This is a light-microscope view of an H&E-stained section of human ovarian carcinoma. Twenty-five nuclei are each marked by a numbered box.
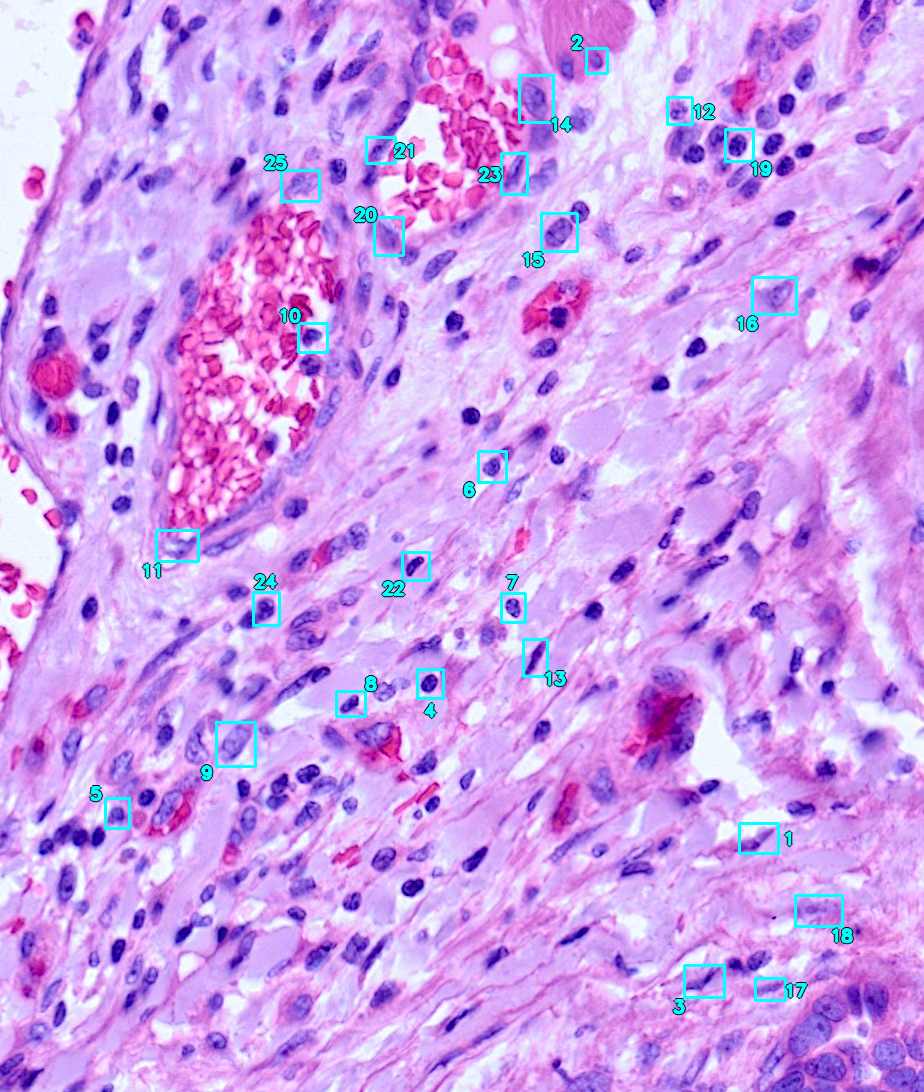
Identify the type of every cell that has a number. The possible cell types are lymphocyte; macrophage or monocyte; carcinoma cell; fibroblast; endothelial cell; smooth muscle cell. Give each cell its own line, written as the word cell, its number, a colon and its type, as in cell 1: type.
cell 1: fibroblast
cell 2: smooth muscle cell
cell 3: fibroblast
cell 4: lymphocyte
cell 5: lymphocyte
cell 6: lymphocyte
cell 7: lymphocyte
cell 8: lymphocyte
cell 9: fibroblast
cell 10: lymphocyte
cell 11: endothelial cell
cell 12: lymphocyte
cell 13: fibroblast
cell 14: endothelial cell
cell 15: macrophage or monocyte
cell 16: fibroblast
cell 17: fibroblast
cell 18: fibroblast
cell 19: lymphocyte
cell 20: endothelial cell
cell 21: endothelial cell
cell 22: lymphocyte
cell 23: endothelial cell
cell 24: lymphocyte
cell 25: endothelial cell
